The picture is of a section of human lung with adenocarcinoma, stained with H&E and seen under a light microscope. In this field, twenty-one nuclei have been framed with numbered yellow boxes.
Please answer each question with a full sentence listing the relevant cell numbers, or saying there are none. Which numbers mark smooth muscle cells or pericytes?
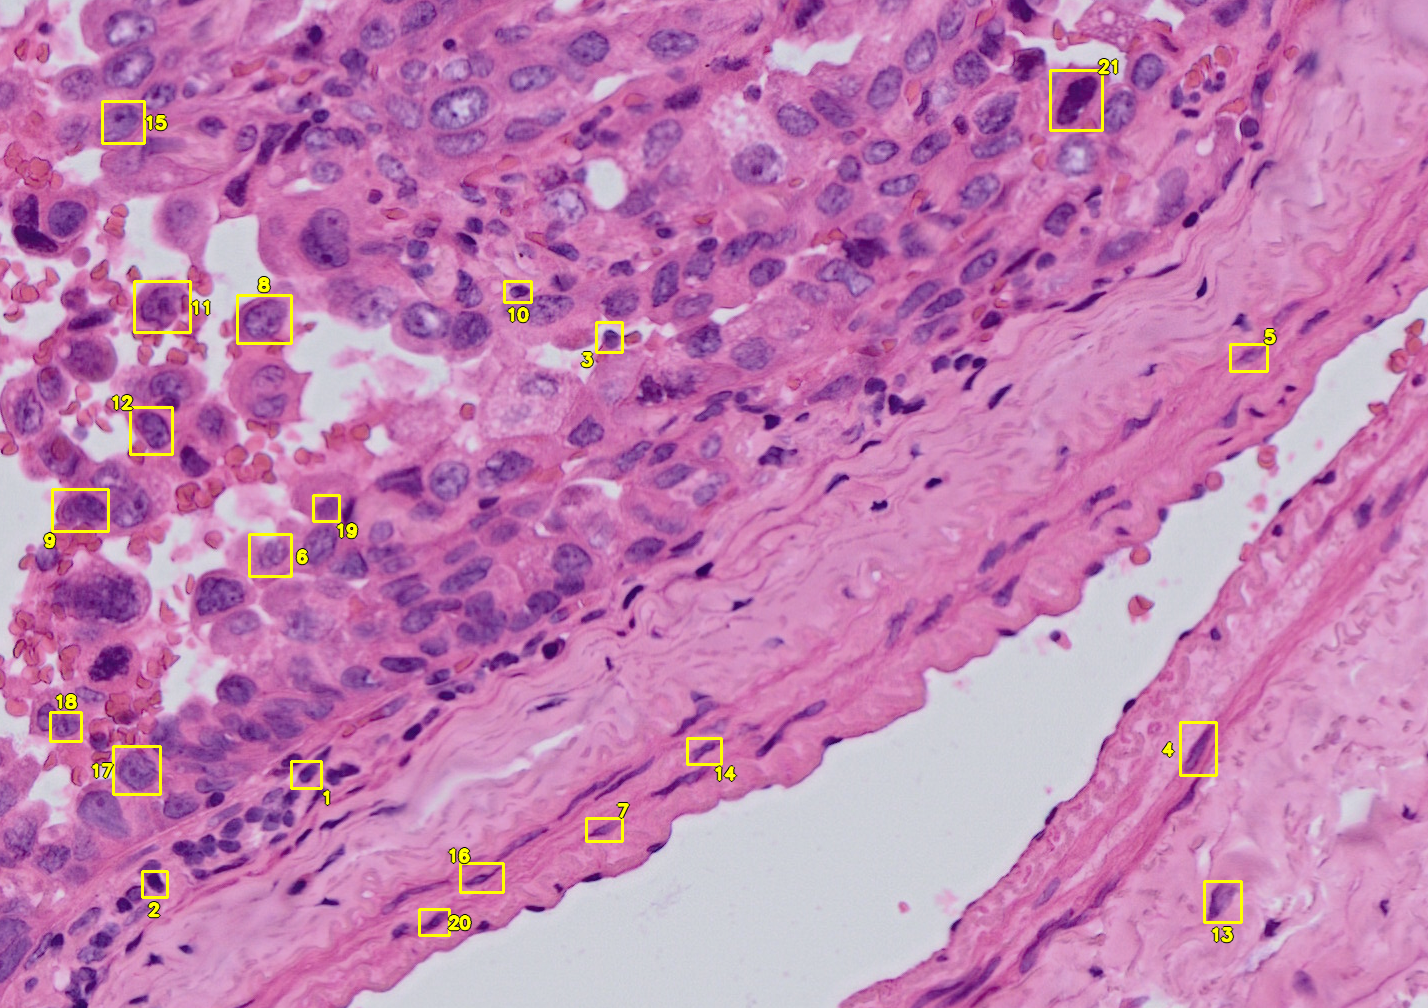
In terms of cell type, cells 4, 5, 7, 14, 16 and 20 are smooth muscle cells or pericytes.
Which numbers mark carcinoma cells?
In this section, the cells labelled 6, 8, 9, 11, 12, 15, 17, 19 and 21 are carcinoma cells.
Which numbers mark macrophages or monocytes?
Only nucleus 18 belongs to a macrophage or monocyte; the other numbered nuclei do not.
